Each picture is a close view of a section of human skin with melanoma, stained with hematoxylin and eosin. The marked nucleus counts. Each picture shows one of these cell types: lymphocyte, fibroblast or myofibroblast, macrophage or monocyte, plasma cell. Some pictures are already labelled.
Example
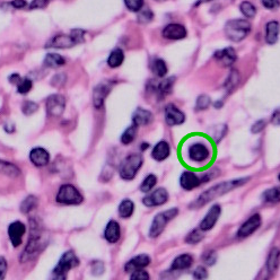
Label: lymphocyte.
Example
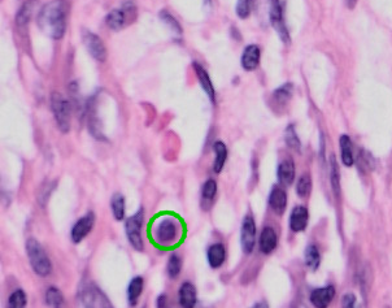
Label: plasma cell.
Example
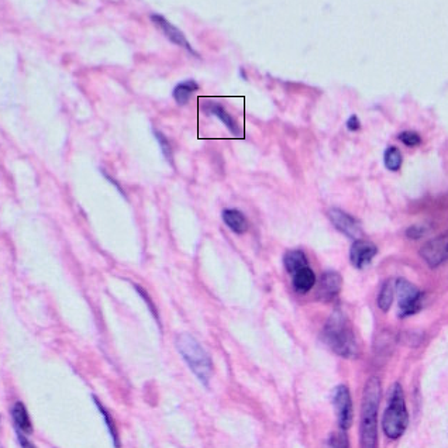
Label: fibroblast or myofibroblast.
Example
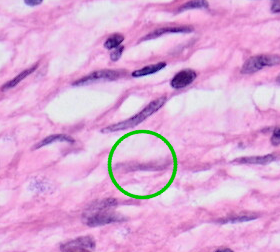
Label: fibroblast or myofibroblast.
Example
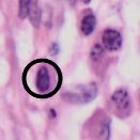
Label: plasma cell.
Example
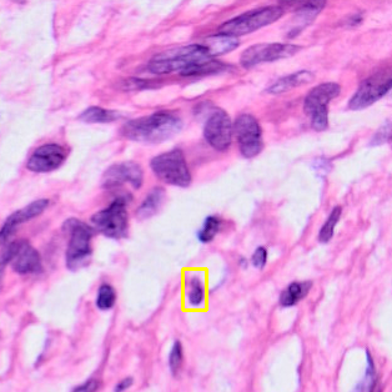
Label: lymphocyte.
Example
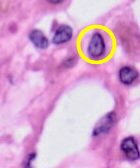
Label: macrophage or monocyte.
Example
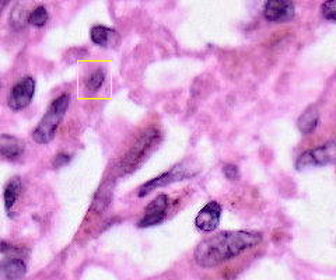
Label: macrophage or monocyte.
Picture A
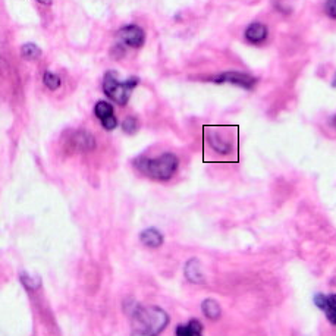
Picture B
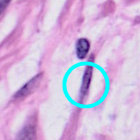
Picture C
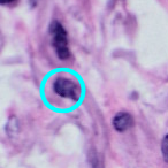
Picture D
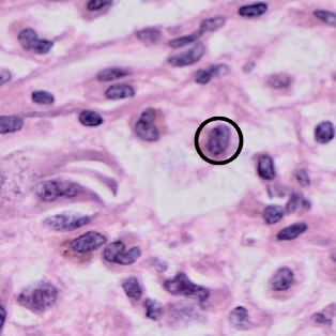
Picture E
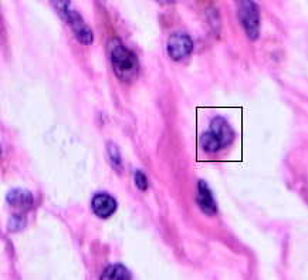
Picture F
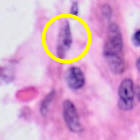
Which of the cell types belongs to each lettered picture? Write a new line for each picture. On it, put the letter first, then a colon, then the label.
A: macrophage or monocyte.
B: fibroblast or myofibroblast.
C: plasma cell.
D: macrophage or monocyte.
E: macrophage or monocyte.
F: fibroblast or myofibroblast.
